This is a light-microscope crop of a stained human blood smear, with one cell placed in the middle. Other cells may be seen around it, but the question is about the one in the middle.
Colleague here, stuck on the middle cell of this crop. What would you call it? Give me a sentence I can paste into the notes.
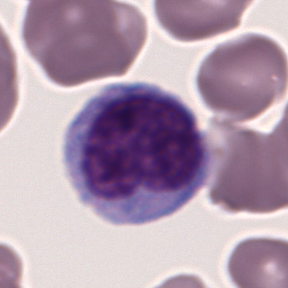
The central cell in this smear crop is a monocyte.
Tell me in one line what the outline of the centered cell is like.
Its surface contour is regular and smooth, without any protrusions.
